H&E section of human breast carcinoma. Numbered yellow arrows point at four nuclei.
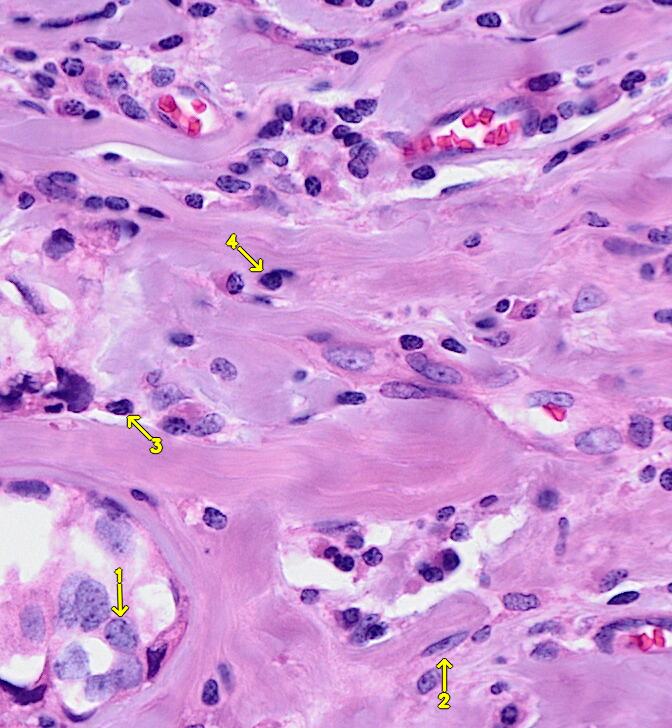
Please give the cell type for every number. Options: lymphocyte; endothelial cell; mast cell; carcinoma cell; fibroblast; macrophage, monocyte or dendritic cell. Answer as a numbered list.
1. carcinoma cell
2. fibroblast
3. lymphocyte
4. lymphocyte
